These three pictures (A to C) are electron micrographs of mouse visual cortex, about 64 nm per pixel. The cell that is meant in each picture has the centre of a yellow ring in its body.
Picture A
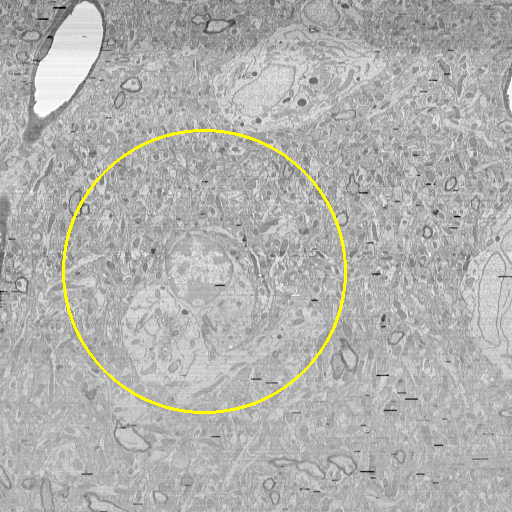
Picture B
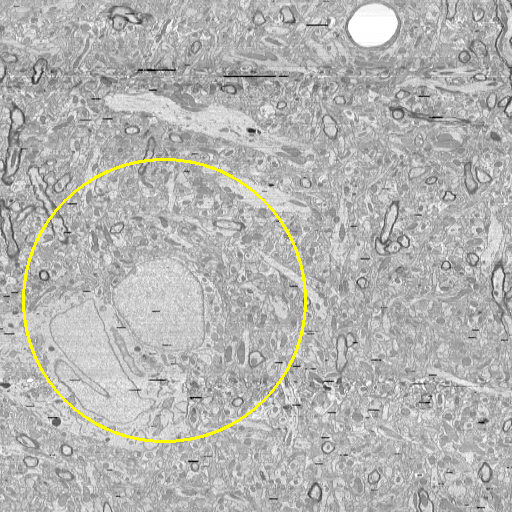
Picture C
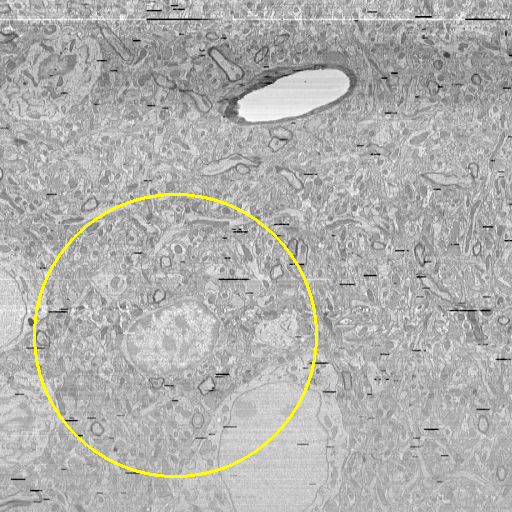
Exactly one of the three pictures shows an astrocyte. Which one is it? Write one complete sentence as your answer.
It is picture B that shows the astrocyte.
